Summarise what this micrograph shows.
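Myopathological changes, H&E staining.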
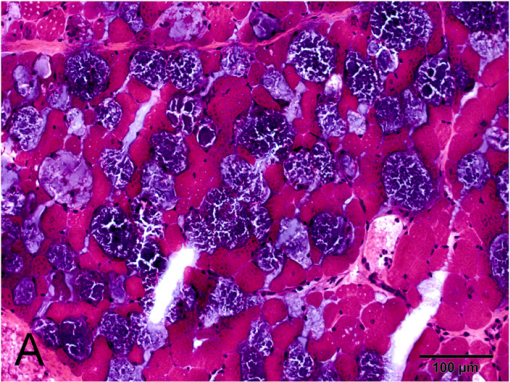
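Skeletal muscle in cross-section with extensive vacuolation in many fibers. Numerous rounded fibers are filled with dark purple, granular material traversed by white cracks. Other affected fibers show paler, lilac, glassy contents. These fibers lie scattered among intensely pink, normally staining fibers. Small dark nuclei sit between fibers, and white clefts from sectioning cross the field.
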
